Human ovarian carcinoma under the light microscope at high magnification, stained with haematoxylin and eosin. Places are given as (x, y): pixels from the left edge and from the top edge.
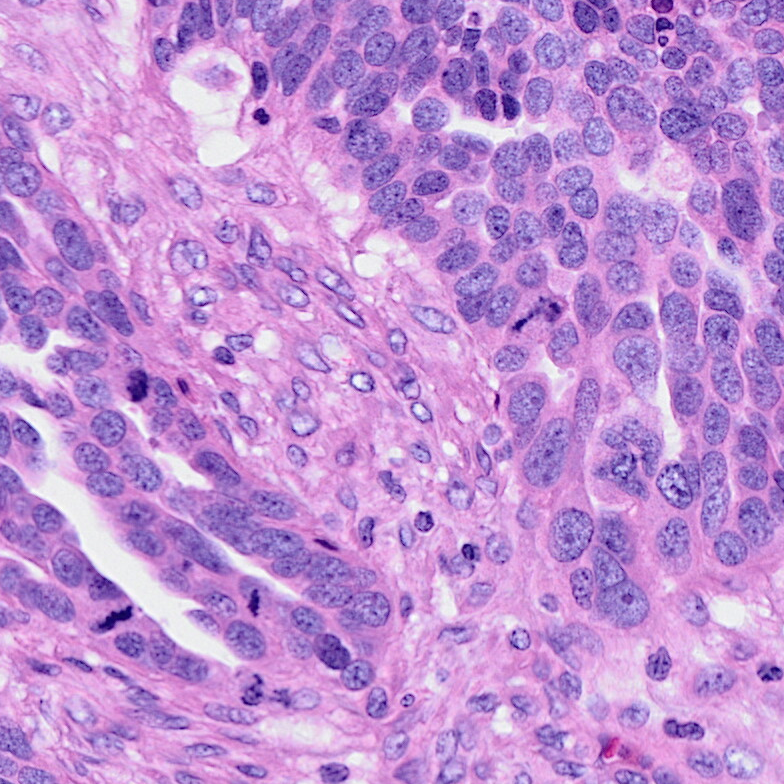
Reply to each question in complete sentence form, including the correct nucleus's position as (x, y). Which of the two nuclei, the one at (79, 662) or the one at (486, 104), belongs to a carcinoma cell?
Of the two, the nucleus lying at (486, 104) is the one belonging to a carcinoma cell.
